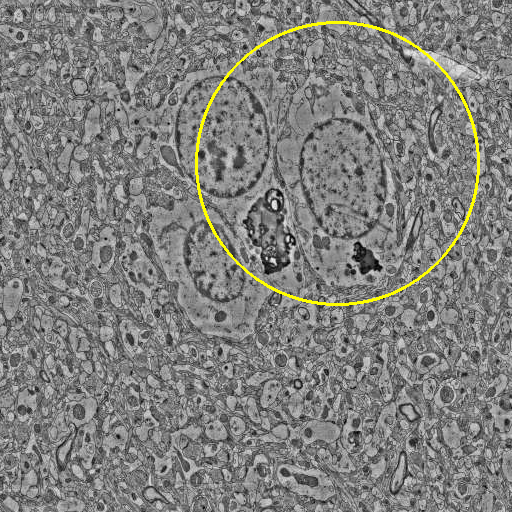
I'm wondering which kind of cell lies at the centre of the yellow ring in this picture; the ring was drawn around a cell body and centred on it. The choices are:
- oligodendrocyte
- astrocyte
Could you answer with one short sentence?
At the centre of the ring lies an astrocyte.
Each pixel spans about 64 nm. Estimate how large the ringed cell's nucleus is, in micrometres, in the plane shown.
Roughly 8 micrometres by 5 micrometres, in this plane.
